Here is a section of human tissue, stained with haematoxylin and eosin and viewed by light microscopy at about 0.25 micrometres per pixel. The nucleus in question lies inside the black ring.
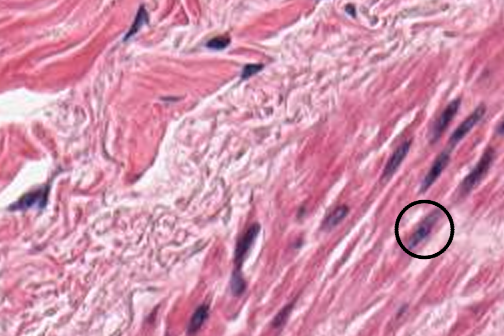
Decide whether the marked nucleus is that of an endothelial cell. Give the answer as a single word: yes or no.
no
